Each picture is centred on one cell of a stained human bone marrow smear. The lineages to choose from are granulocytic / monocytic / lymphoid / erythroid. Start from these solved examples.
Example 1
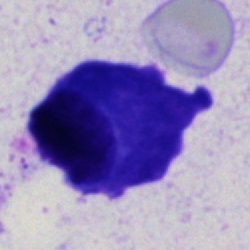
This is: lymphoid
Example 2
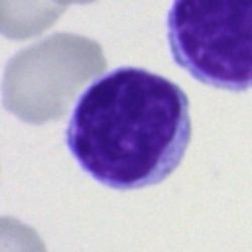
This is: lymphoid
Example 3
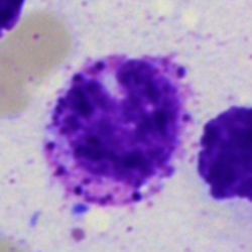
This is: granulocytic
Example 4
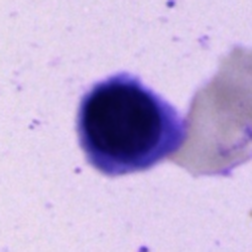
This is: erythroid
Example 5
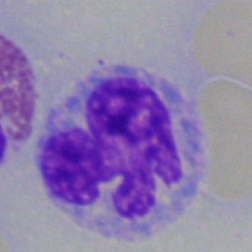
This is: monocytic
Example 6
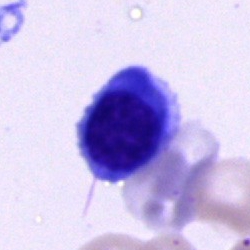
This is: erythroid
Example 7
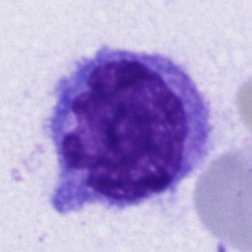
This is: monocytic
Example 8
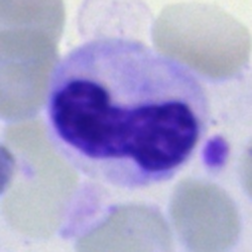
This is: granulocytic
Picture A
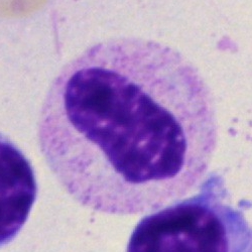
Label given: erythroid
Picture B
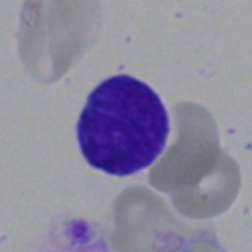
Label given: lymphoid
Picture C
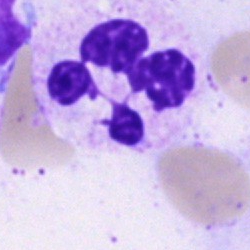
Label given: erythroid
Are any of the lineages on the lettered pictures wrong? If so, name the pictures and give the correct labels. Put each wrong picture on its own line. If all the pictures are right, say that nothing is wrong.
A is labelled erythroid; correct label: granulocytic
C is labelled erythroid; correct label: granulocytic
